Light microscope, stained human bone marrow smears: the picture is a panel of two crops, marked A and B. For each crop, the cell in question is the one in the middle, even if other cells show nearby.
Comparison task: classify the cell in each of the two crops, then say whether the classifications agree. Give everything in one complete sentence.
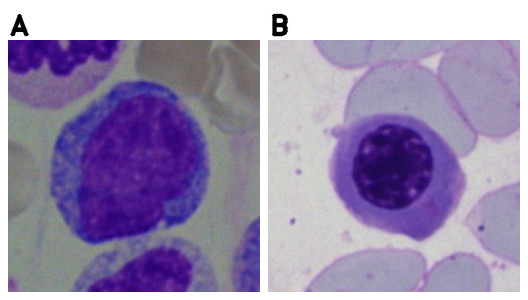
No, crop A corresponds to a blast, while crop B corresponds to an erythroblast.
